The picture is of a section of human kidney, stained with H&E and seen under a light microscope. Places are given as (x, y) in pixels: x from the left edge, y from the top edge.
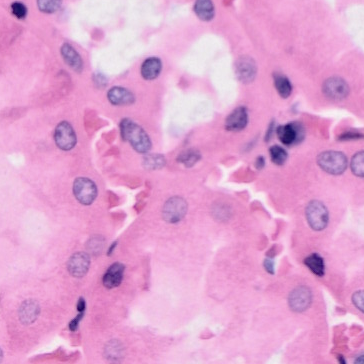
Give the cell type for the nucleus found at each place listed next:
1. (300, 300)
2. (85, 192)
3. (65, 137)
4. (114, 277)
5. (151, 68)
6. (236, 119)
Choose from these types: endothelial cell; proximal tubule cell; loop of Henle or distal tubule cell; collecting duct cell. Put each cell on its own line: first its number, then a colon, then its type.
1: proximal tubule cell
2: proximal tubule cell
3: proximal tubule cell
4: proximal tubule cell
5: loop of Henle or distal tubule cell
6: loop of Henle or distal tubule cell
